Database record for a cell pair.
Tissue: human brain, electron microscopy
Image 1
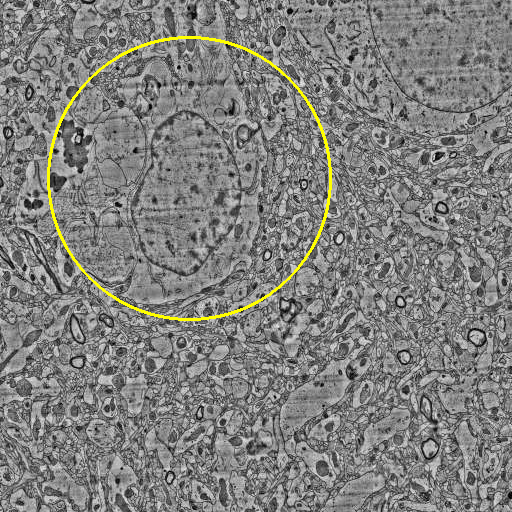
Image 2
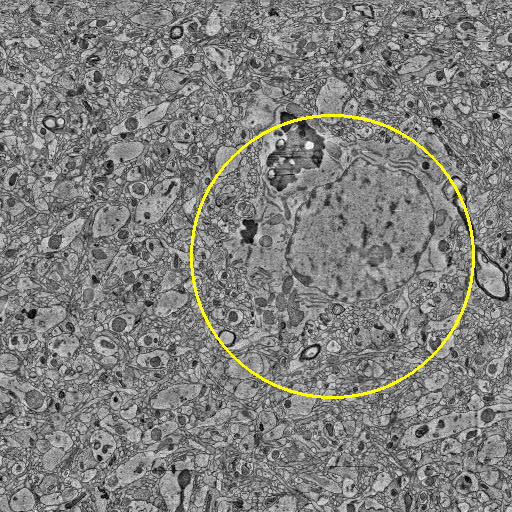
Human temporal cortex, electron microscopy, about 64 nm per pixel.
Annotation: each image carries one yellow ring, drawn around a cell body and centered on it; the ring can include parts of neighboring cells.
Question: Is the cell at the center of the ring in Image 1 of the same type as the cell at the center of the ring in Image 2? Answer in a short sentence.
Yes, the cells are of the same type.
